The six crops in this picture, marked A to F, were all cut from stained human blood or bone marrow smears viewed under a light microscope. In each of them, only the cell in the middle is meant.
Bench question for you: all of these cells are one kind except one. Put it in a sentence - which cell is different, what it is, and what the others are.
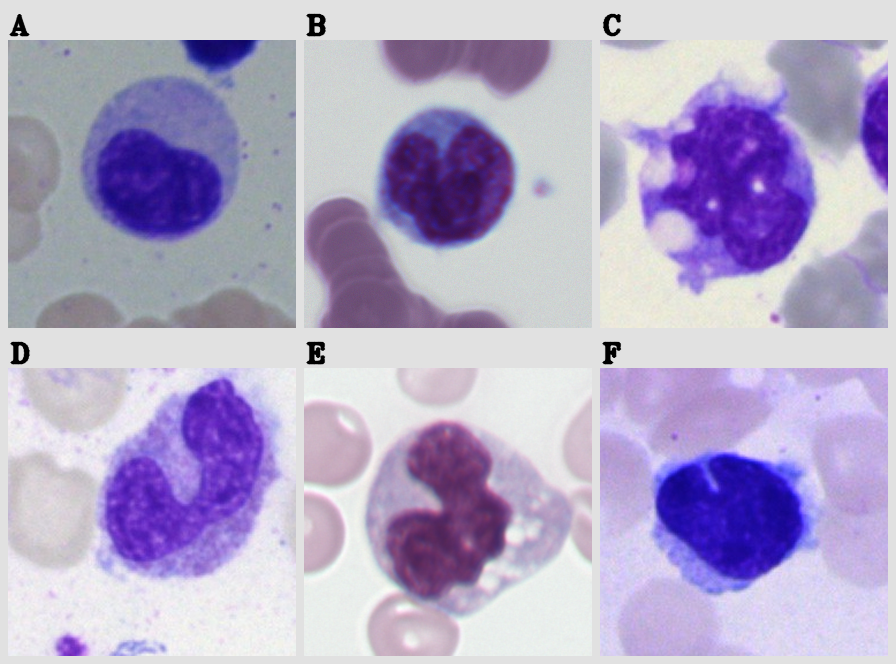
Crop A holds a metamyelocyte, unlike the remaining crops, all of which hold monocytes.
